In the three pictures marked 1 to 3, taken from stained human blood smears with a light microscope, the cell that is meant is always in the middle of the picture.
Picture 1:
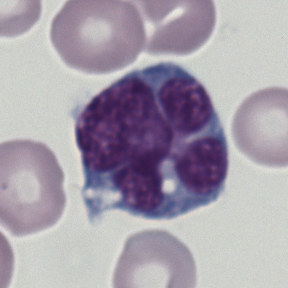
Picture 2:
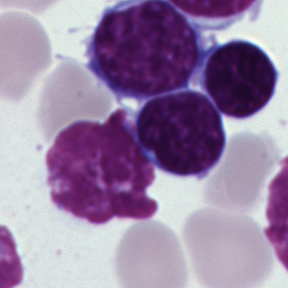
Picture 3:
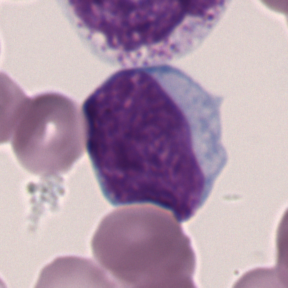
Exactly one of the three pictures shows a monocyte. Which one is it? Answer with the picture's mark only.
1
